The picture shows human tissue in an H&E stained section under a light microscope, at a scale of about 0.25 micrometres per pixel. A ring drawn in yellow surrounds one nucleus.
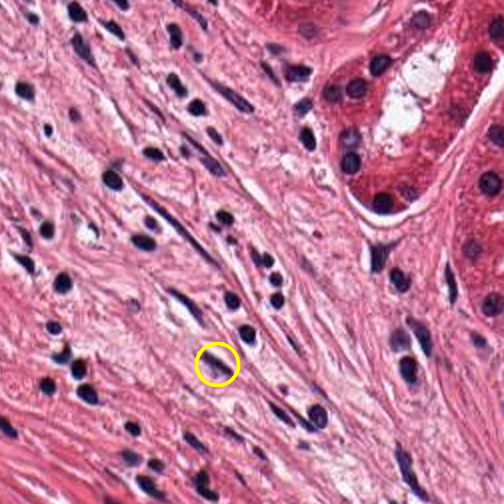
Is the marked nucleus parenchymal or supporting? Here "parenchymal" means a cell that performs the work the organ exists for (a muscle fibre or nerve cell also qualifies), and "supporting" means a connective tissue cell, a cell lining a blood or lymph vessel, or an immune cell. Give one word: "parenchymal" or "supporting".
supporting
